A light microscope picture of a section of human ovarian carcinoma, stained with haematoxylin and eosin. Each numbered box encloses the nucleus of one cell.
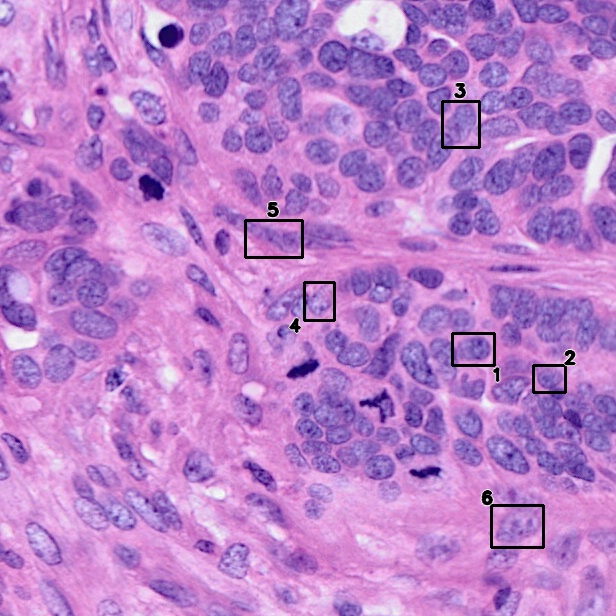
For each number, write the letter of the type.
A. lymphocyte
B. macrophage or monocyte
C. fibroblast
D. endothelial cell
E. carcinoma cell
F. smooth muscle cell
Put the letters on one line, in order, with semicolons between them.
E; E; E; C; C; C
